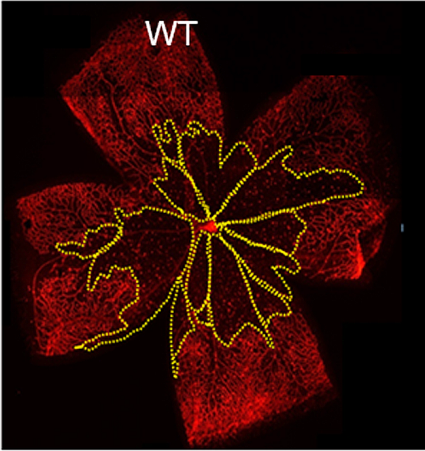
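This is a flat-mounted retina cut into four lobes, with its vessels shown in red and the optic disc at the center. Large vessels radiate outward from the disc toward the edge of each lobe. The outer parts of the retina are covered by a dense meshwork of fine red capillaries, while a central zone around the disc, outlined by a yellow dotted line, lacks this meshwork and is crossed only by the large vessels.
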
